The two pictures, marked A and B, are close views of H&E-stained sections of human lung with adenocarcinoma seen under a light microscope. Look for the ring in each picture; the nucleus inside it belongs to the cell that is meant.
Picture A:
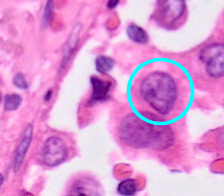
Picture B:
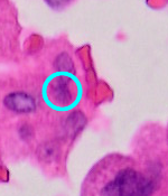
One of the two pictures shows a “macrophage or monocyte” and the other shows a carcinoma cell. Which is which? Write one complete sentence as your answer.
It is picture A that shows a carcinoma cell, and picture B that shows a “macrophage or monocyte”.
